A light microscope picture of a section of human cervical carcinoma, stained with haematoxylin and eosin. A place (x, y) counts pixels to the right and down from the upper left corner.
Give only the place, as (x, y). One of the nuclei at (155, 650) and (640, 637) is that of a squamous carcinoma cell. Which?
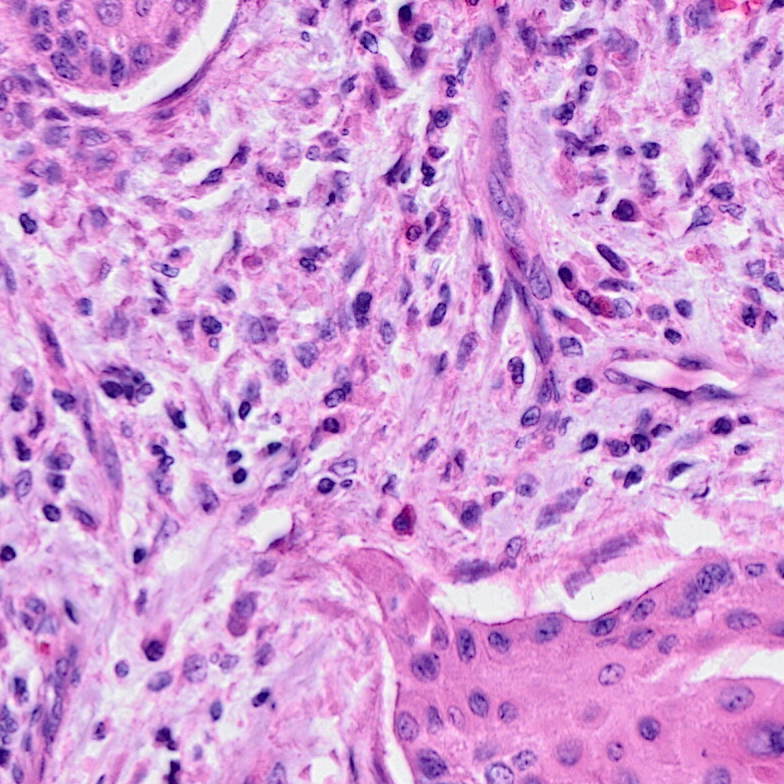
(640, 637)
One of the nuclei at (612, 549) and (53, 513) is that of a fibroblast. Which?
(612, 549)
